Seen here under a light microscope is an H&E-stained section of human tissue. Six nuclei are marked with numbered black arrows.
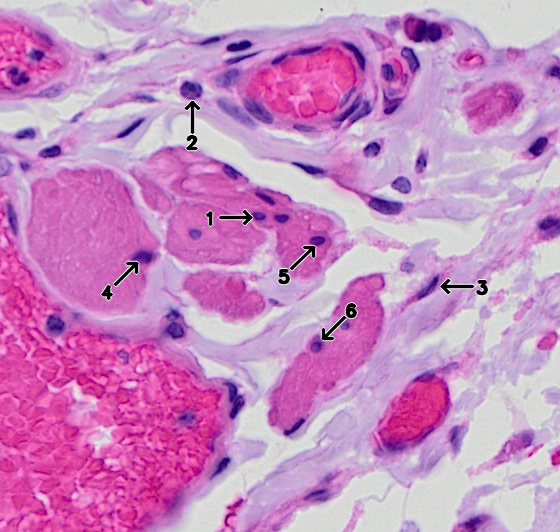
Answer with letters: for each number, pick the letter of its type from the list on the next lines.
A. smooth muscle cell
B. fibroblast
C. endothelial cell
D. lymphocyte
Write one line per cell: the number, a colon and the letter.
1: A
2: D
3: B
4: A
5: A
6: A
